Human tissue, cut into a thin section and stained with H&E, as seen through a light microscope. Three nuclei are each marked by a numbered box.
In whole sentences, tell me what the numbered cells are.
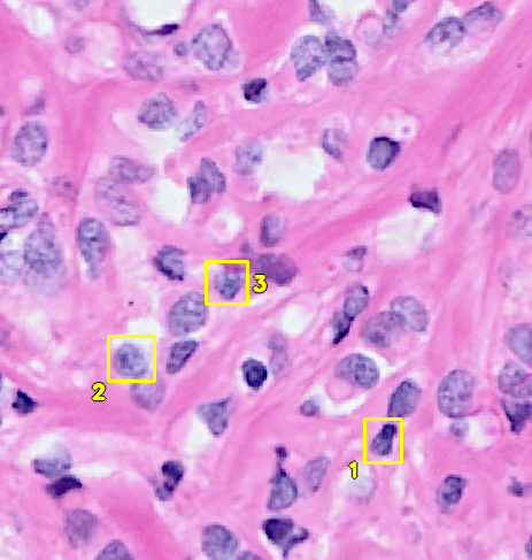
Cell 1 is a lymphocyte, cell 2 is a carcinoma cell and cell 3 is an endothelial cell.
